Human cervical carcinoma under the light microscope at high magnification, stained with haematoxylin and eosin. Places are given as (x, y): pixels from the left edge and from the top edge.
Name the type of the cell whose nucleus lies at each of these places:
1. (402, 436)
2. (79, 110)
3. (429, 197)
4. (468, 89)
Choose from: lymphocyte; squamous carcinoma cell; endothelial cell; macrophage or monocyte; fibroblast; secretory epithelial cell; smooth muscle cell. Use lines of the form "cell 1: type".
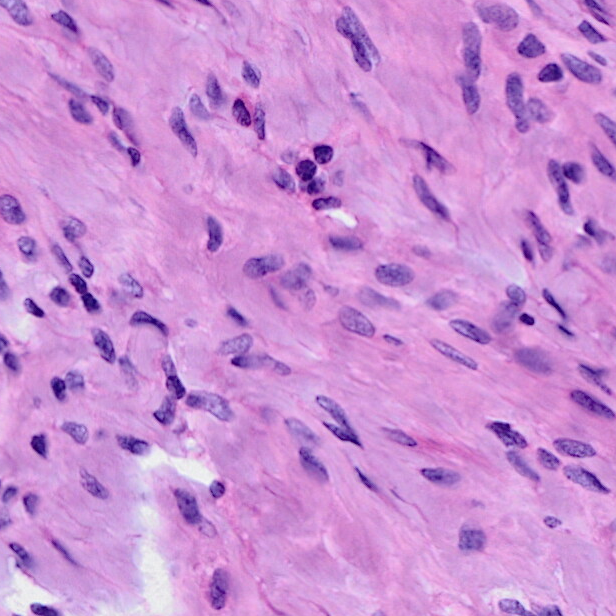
cell 1: smooth muscle cell
cell 2: fibroblast
cell 3: fibroblast
cell 4: fibroblast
